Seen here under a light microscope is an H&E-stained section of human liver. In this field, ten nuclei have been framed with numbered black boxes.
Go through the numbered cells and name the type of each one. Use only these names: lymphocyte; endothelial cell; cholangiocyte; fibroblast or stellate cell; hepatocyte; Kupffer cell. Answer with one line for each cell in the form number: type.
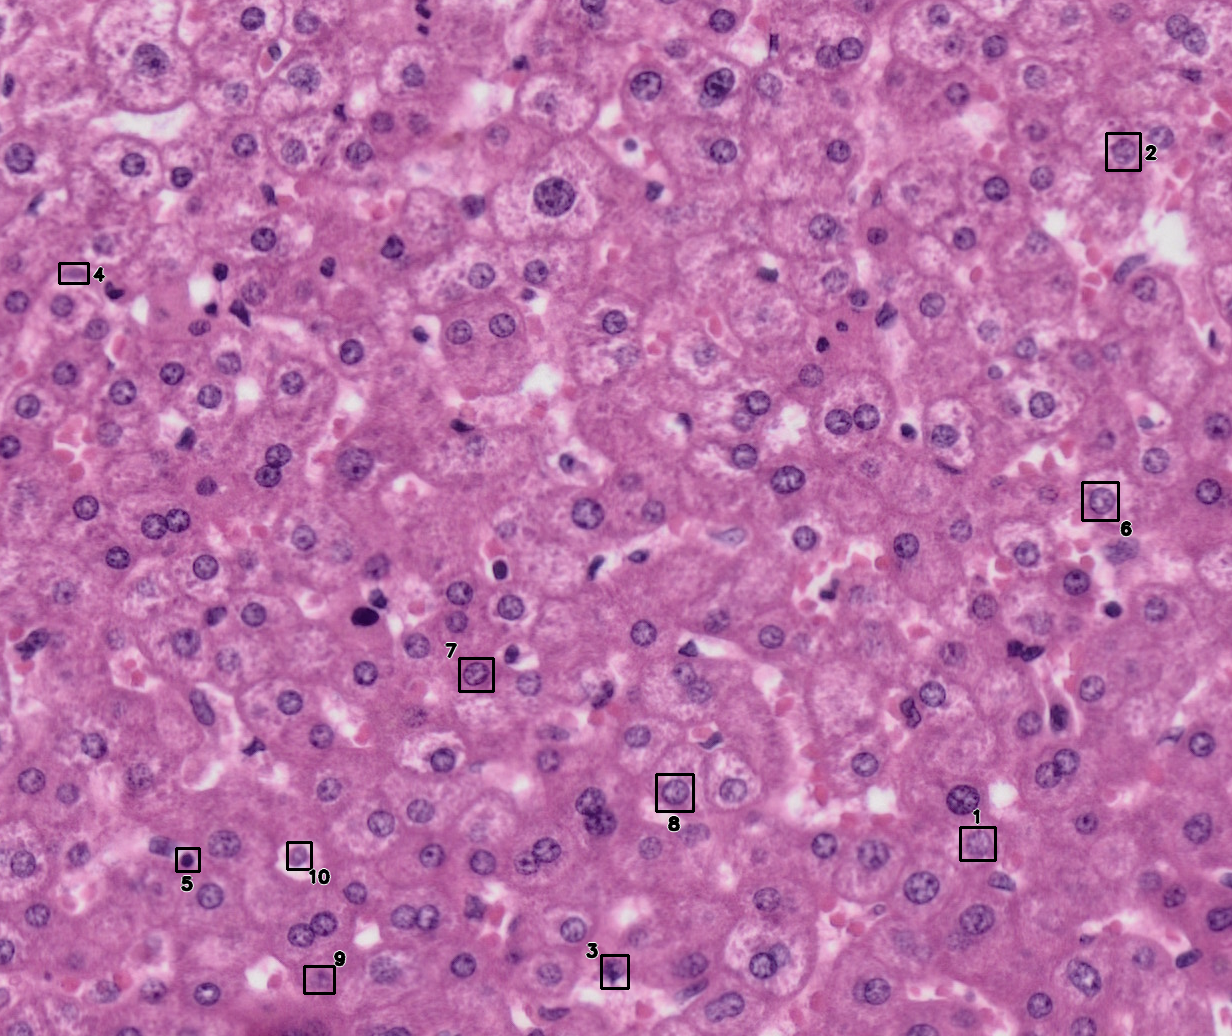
1: hepatocyte
2: hepatocyte
3: endothelial cell
4: Kupffer cell
5: lymphocyte
6: hepatocyte
7: hepatocyte
8: hepatocyte
9: hepatocyte
10: Kupffer cell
